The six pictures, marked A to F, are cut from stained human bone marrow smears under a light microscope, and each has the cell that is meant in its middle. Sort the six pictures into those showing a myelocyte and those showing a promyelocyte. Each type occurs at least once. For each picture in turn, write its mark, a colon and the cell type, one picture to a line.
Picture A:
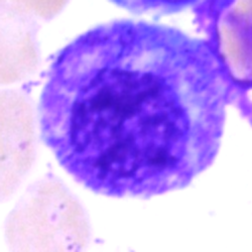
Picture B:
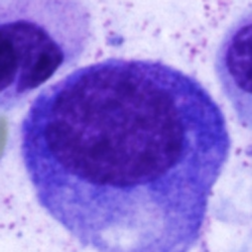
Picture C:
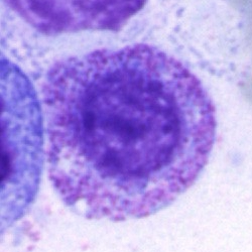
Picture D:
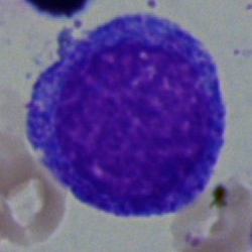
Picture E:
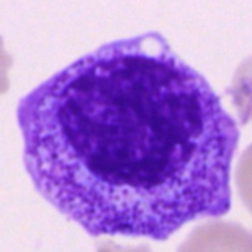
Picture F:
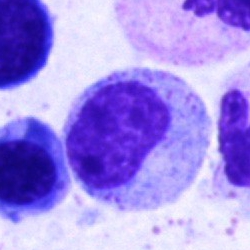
A: myelocyte
B: promyelocyte
C: myelocyte
D: promyelocyte
E: promyelocyte
F: myelocyte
